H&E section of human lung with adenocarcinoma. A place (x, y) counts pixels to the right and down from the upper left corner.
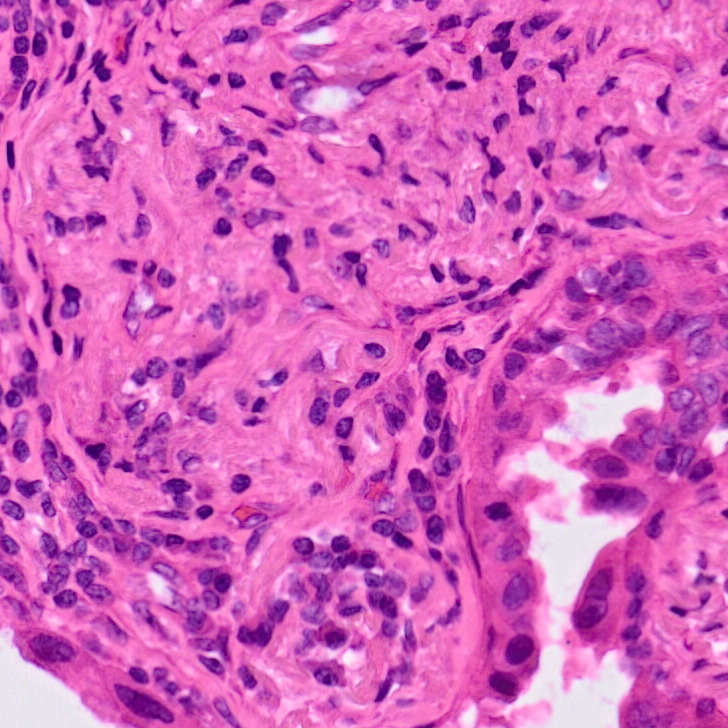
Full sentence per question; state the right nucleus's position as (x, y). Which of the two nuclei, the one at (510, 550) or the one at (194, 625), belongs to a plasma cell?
The nucleus that belongs to a plasma cell sits at (194, 625).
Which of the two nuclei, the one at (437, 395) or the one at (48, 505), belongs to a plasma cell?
Of the two candidate nuclei, the one at (437, 395) is that of a plasma cell.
